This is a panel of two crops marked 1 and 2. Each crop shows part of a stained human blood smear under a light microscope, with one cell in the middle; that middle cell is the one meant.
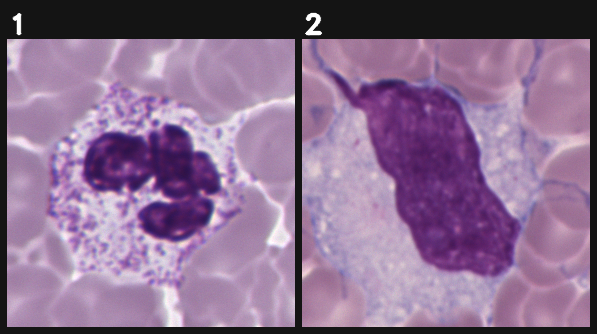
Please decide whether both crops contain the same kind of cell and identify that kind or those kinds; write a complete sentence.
No, crop 1 offers a segmented neutrophil, while crop 2 offers a monocyte.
